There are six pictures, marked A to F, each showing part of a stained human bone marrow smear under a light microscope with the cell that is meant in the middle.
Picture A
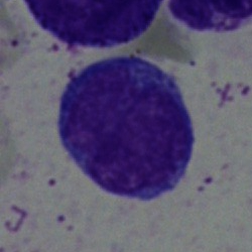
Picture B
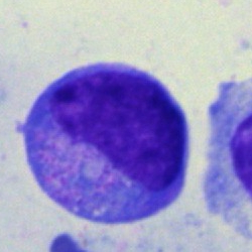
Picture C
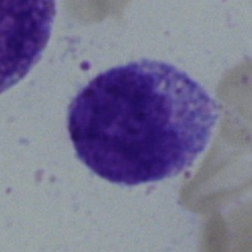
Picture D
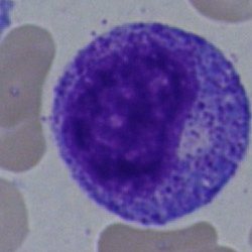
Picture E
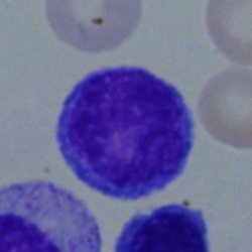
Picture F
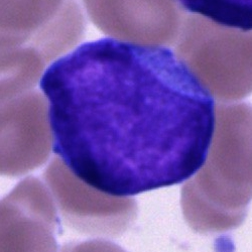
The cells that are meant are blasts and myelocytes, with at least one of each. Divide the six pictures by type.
A: blast
B: blast
C: myelocyte
D: myelocyte
E: blast
F: blast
